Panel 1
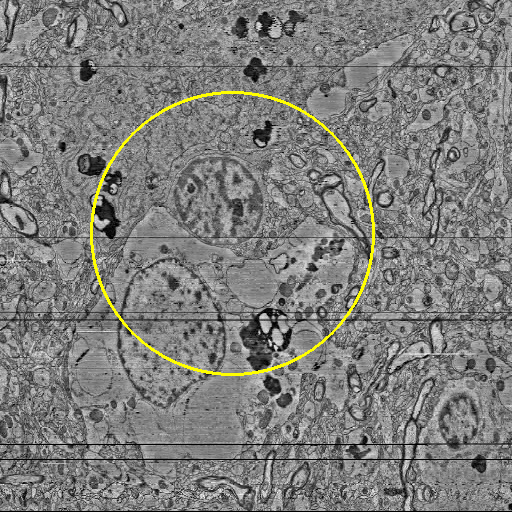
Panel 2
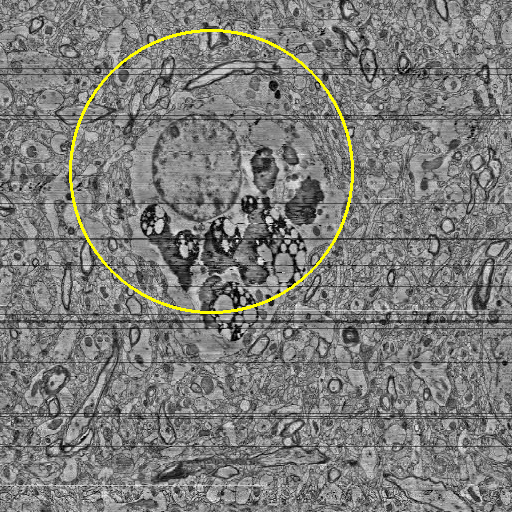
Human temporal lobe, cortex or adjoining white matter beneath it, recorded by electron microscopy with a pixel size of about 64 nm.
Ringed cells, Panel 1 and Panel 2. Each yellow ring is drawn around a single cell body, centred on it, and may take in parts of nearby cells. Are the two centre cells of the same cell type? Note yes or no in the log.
no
